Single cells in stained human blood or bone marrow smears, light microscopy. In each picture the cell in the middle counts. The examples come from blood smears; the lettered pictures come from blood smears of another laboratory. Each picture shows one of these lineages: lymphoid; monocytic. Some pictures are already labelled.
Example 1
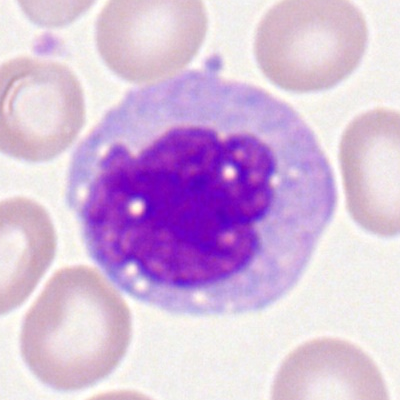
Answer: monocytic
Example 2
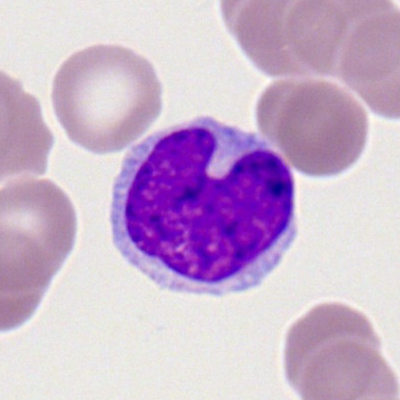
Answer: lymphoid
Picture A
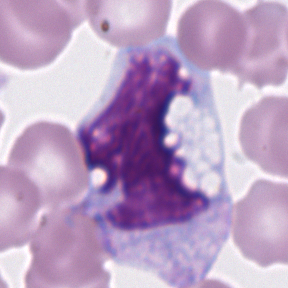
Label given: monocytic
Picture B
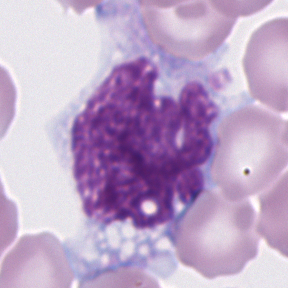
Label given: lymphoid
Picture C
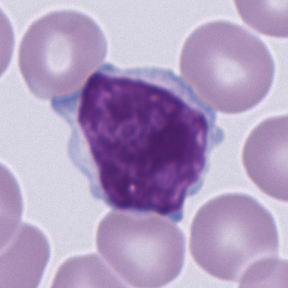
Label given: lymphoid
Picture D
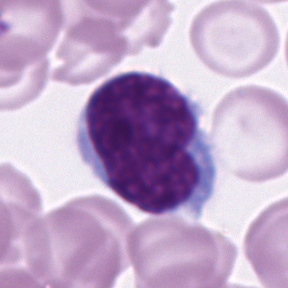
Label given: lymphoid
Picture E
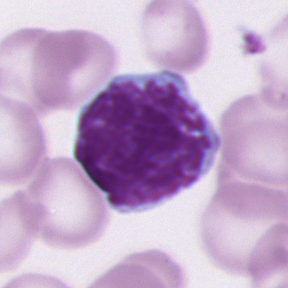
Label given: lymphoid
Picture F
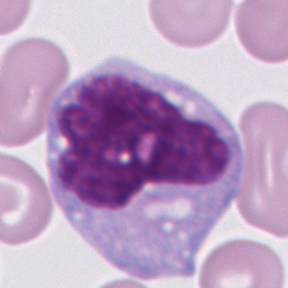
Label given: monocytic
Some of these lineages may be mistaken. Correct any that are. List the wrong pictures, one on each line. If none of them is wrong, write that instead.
Wrong: B (lymphoid); correct: monocytic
